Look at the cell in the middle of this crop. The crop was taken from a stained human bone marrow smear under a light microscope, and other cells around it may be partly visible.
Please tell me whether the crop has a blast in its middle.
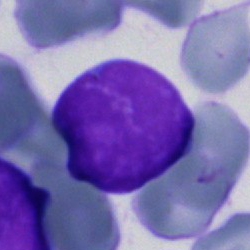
yes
